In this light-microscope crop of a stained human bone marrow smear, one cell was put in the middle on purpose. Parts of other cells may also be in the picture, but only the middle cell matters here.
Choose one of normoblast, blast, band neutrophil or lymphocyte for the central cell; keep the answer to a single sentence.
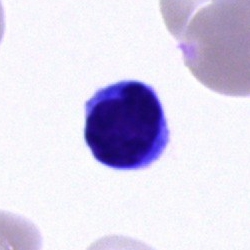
The cell at the middle of the crop is recognized as a lymphocyte.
